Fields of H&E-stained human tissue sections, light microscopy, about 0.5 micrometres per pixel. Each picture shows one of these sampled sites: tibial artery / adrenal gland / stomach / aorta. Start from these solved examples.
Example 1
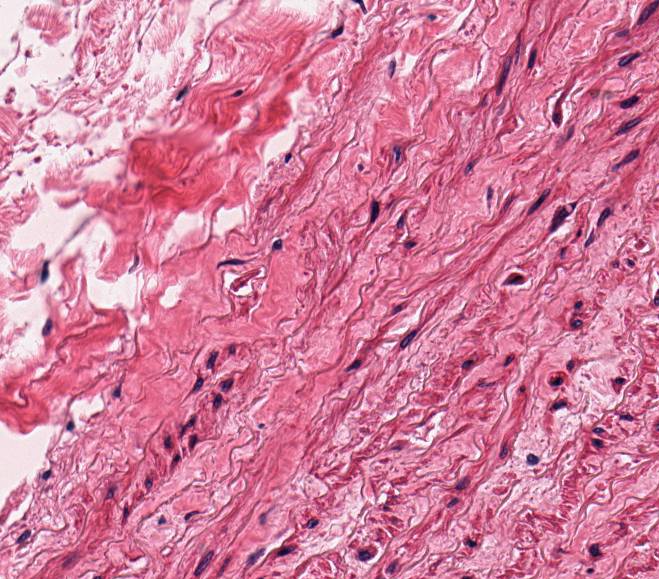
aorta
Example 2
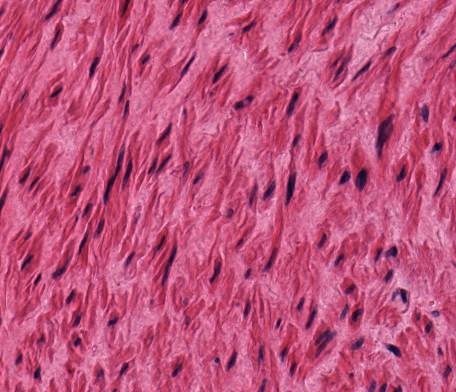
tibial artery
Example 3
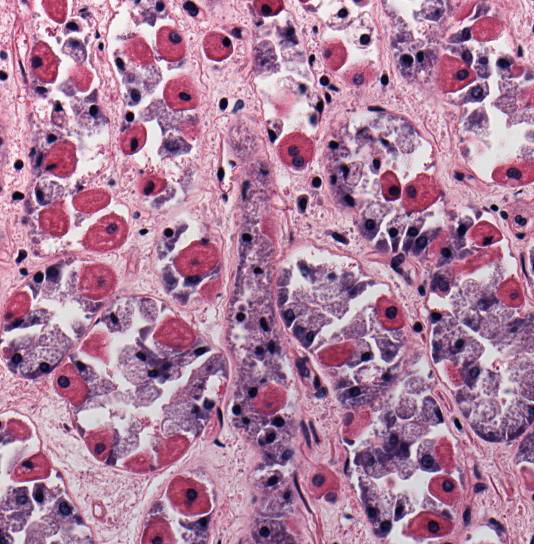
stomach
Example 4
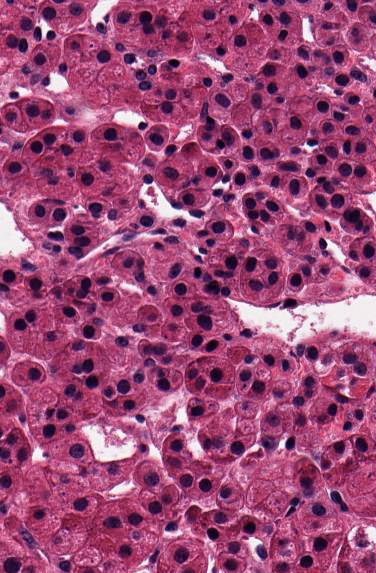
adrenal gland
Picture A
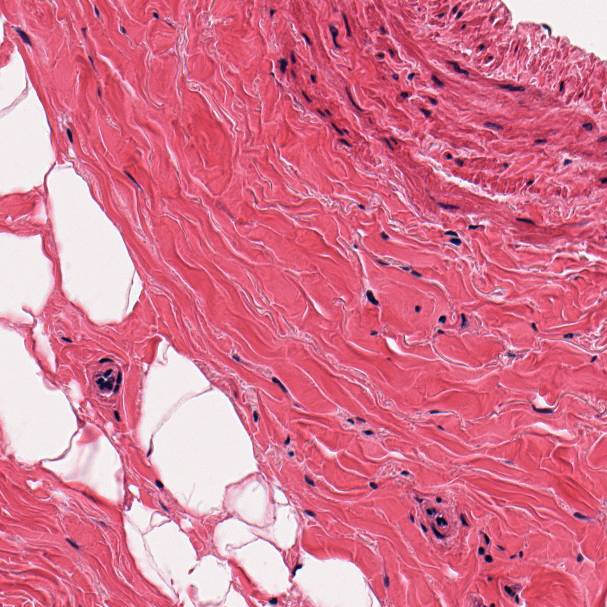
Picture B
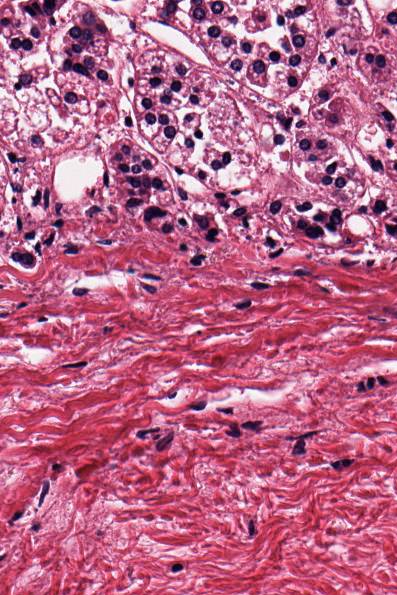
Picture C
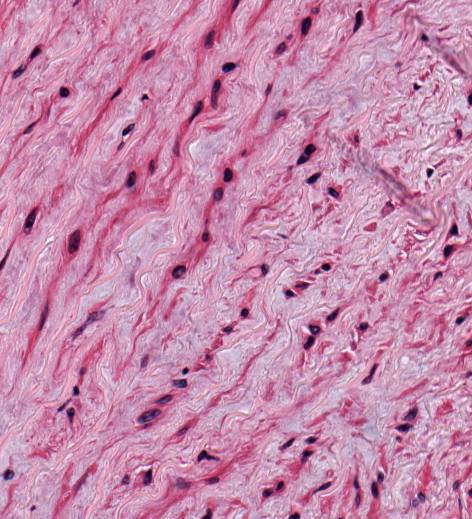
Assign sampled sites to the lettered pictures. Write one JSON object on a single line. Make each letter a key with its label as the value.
{"A": "tibial artery", "B": "adrenal gland", "C": "aorta"}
